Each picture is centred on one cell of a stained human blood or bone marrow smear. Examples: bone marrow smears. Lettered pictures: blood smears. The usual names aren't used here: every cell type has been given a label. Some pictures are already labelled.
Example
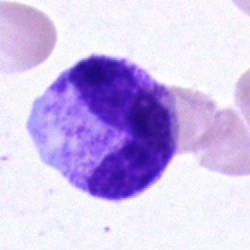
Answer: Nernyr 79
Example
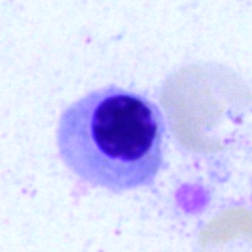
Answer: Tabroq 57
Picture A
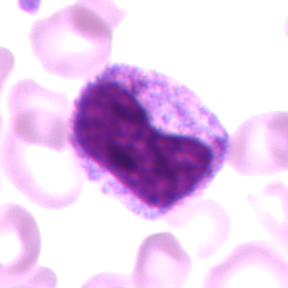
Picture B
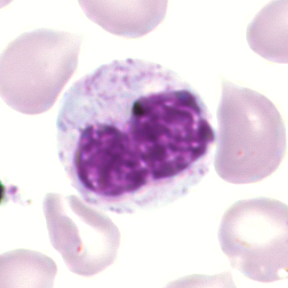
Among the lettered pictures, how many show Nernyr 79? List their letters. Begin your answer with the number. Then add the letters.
2, namely A, B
